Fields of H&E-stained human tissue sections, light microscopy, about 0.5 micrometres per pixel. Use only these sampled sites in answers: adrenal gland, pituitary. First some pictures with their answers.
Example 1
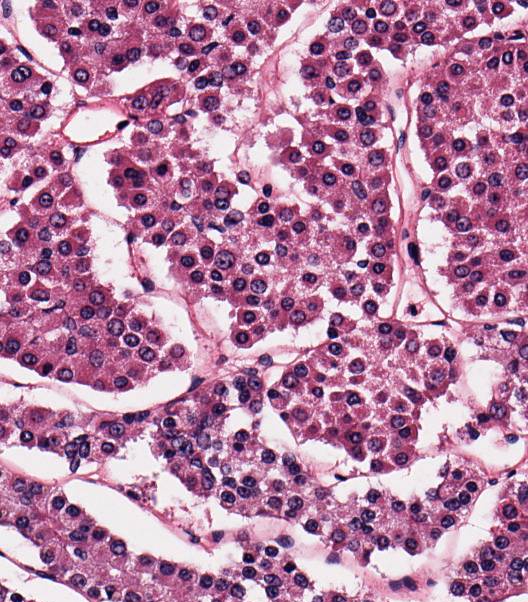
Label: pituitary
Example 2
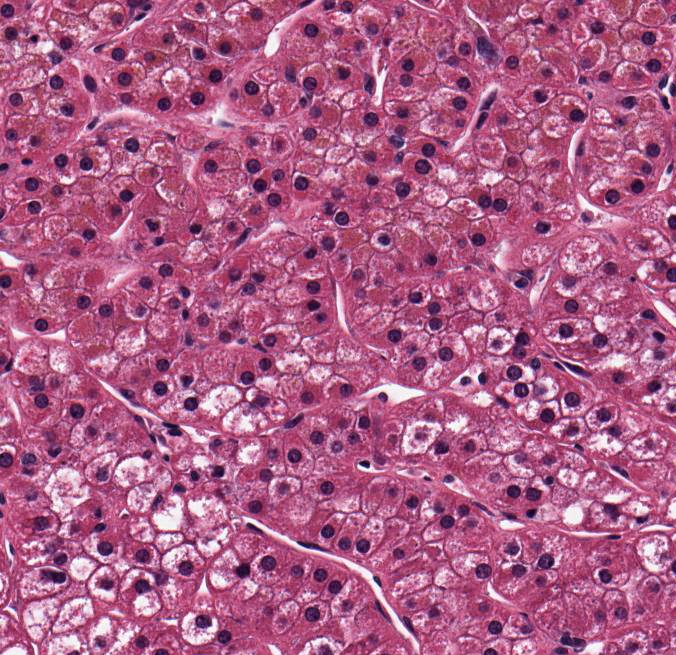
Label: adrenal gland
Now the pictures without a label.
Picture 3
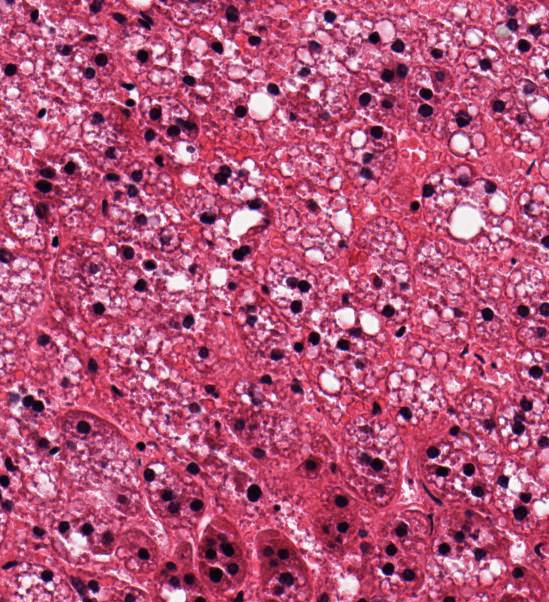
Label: adrenal gland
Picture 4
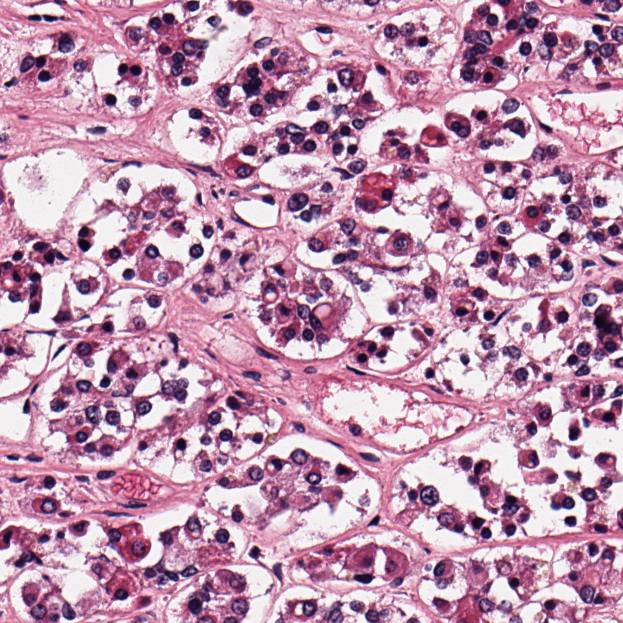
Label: pituitary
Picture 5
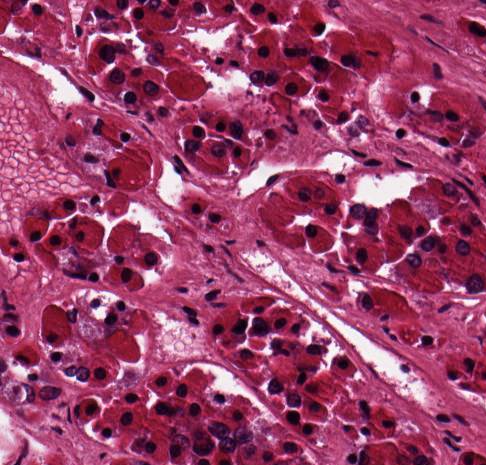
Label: pituitary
